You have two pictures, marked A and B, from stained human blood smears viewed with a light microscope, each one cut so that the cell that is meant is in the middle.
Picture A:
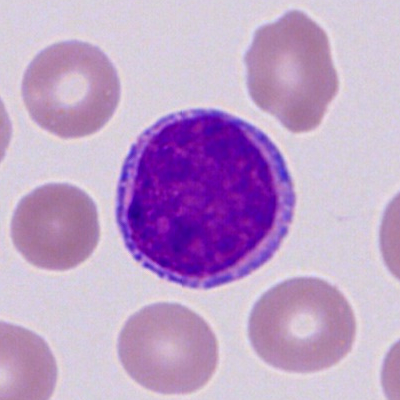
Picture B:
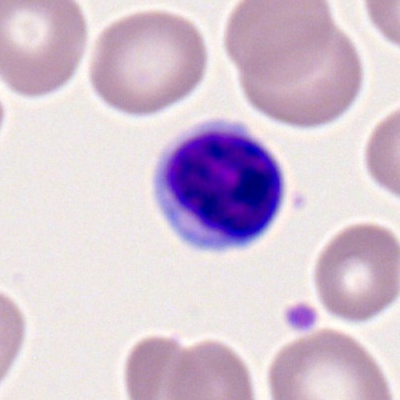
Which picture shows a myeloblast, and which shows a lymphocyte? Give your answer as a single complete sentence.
In picture A the cell is a myeloblast; in picture B, a lymphocyte.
